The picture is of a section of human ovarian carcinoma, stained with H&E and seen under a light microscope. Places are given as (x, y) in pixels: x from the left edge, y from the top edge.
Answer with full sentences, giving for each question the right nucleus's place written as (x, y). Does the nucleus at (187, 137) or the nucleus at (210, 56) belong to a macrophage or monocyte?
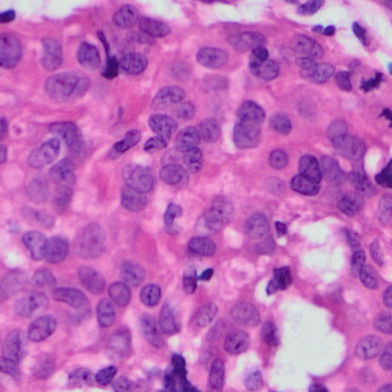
Of the pair, the nucleus positioned at (210, 56) is that of a macrophage or monocyte.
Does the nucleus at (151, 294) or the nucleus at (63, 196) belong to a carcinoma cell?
The cell to which the nucleus at (63, 196) belongs is a carcinoma cell.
